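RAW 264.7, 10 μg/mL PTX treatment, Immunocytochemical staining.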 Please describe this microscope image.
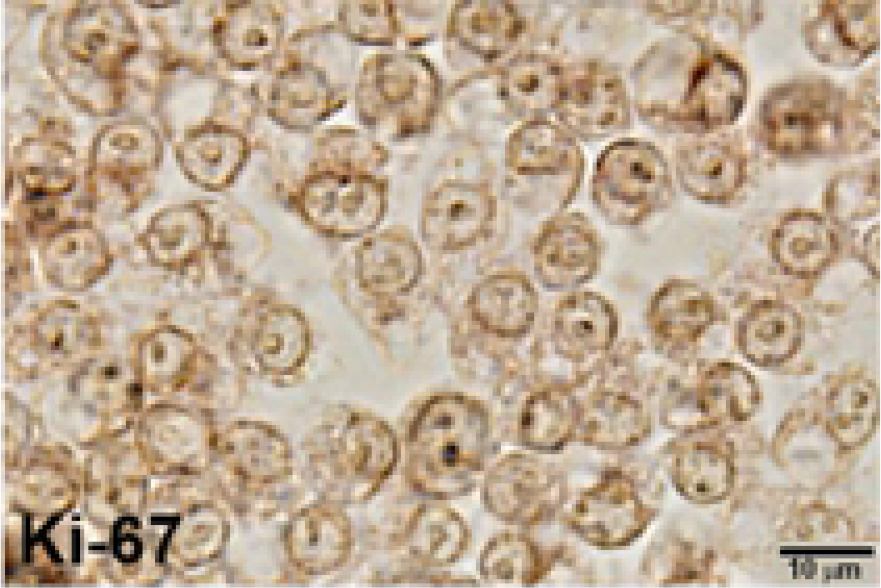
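These are monocytic round cells lying side by side in a loose sheet, each one rounded and about the same size. Without a counterstain the faint brown tint of the reaction is the only colour, and a few cells stand out slightly darker than their neighbours.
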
